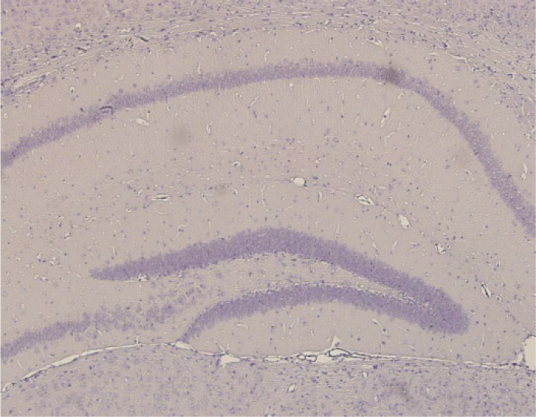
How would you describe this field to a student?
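This is a low-magnification section of the hippocampus with its nuclei stained purple. A single curved band of closely packed nuclei, the layer of pyramidal neurons, sweeps in a long arc across the upper part of the field. Beneath it lies a second, denser V-shaped band of small, tightly packed nuclei whose two blades open toward the left. Between and around these bands the neuropil is pale and only sparsely dotted with scattered small nuclei and thin vessel profiles. At the lower edge a thin line of tissue and a narrow open space separate the hippocampus from the tissue below. No brown deposit stands out anywhere in the section.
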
